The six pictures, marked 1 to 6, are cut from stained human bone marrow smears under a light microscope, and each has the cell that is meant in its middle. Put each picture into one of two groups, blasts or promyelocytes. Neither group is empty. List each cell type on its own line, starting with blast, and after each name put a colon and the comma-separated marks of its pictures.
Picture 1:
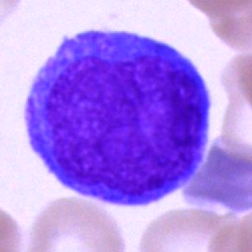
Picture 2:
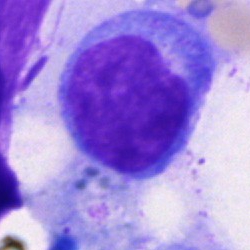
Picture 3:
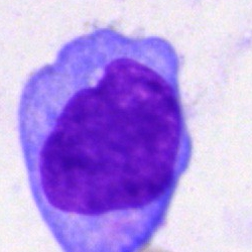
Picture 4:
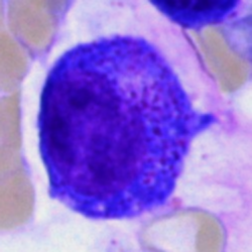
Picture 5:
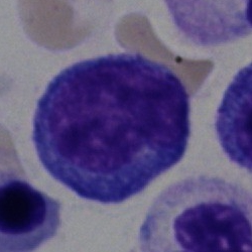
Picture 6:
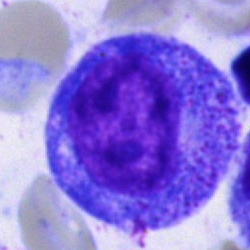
blast: 1, 2, 3, 5
promyelocyte: 4, 6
